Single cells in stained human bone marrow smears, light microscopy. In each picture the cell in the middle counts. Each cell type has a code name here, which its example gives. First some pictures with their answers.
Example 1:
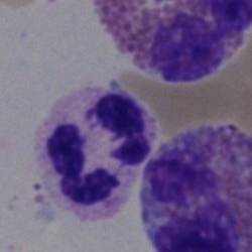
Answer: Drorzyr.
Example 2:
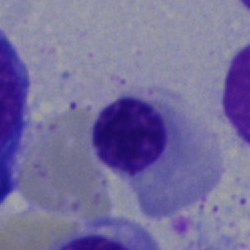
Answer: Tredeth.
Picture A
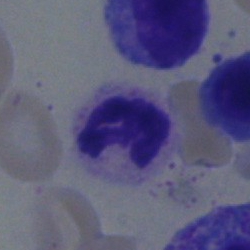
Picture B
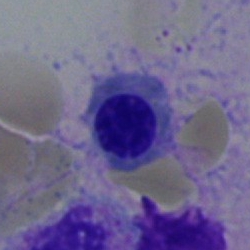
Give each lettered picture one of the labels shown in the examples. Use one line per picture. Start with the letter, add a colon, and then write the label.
A: Drorzyr.
B: Tredeth.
